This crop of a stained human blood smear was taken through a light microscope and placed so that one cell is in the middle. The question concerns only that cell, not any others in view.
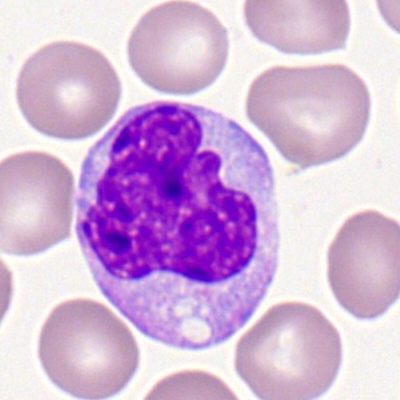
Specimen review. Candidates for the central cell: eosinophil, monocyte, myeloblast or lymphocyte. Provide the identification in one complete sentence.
The middle cell in this particular crop is a monocyte.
